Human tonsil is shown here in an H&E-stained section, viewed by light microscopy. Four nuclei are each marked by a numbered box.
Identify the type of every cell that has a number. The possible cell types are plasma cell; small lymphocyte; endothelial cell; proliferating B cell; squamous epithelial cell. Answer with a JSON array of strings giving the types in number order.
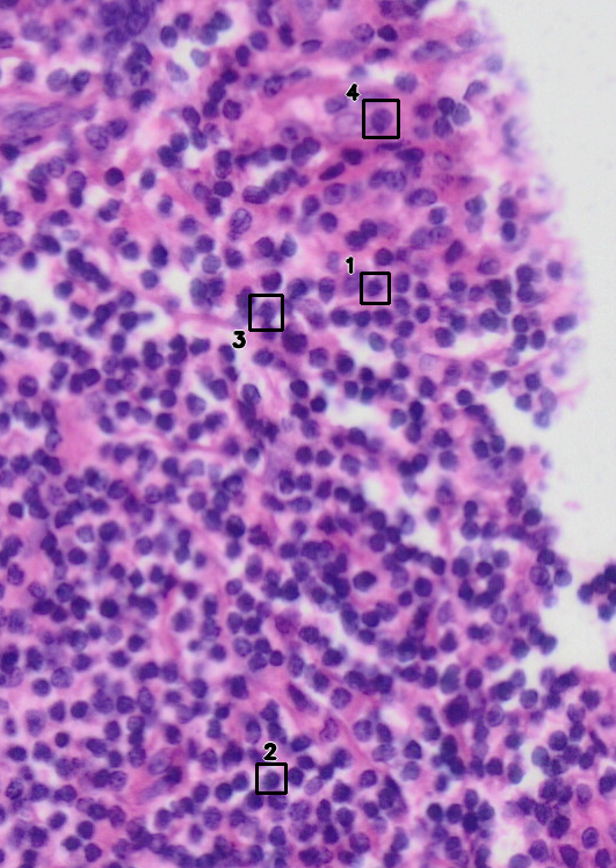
["small lymphocyte", "small lymphocyte", "small lymphocyte", "endothelial cell"]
